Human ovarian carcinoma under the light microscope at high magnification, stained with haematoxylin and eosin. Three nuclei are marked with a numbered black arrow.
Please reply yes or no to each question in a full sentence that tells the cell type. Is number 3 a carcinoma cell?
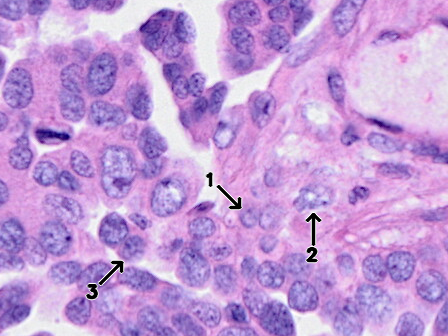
Yes, cell 3 among the marked cells is a carcinoma cell.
